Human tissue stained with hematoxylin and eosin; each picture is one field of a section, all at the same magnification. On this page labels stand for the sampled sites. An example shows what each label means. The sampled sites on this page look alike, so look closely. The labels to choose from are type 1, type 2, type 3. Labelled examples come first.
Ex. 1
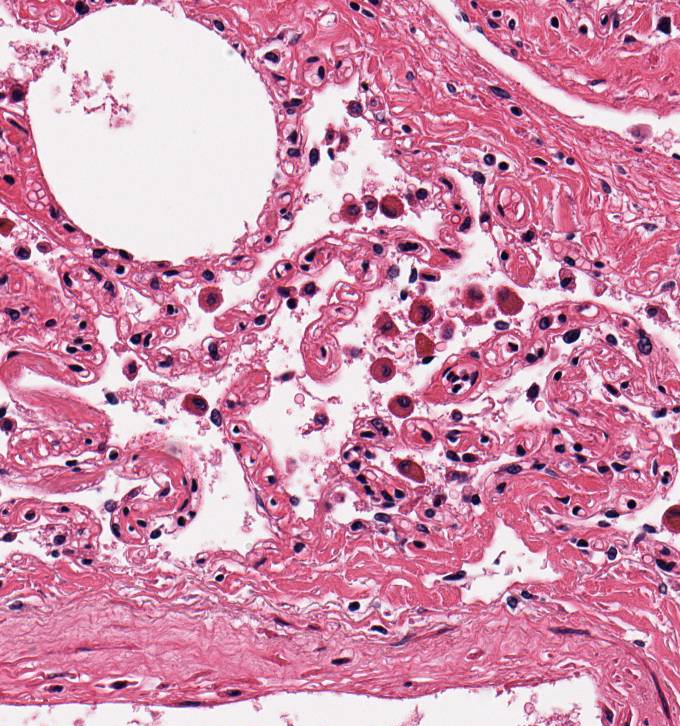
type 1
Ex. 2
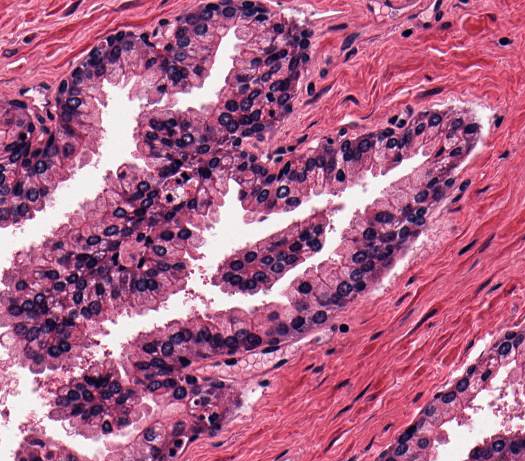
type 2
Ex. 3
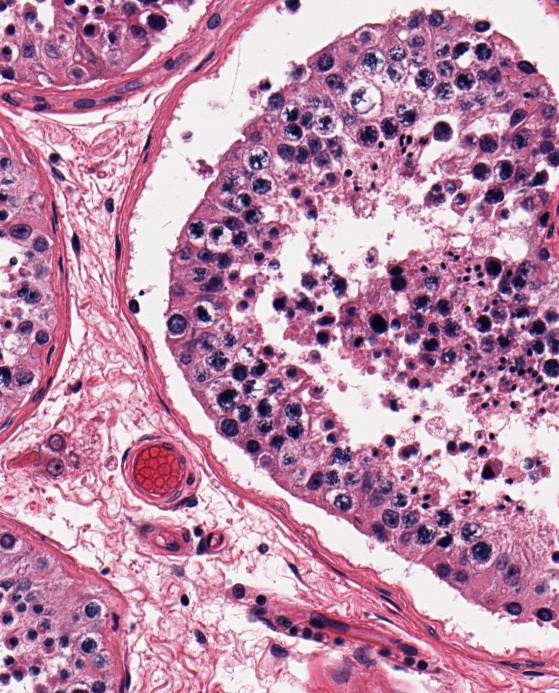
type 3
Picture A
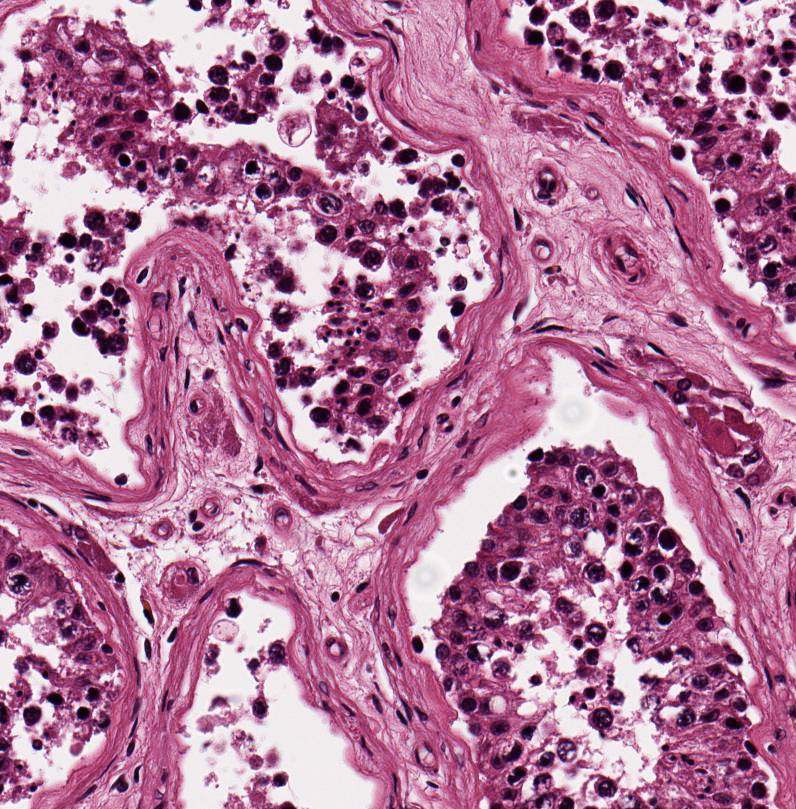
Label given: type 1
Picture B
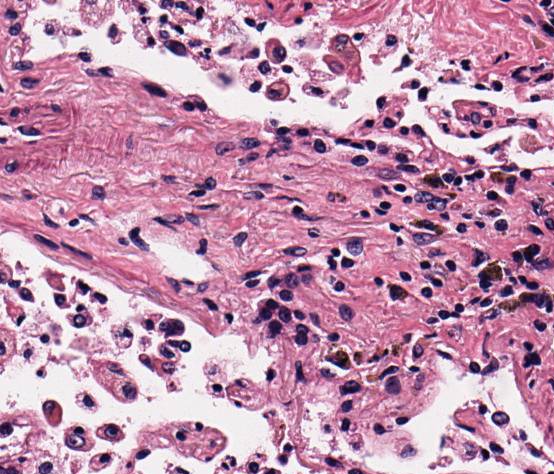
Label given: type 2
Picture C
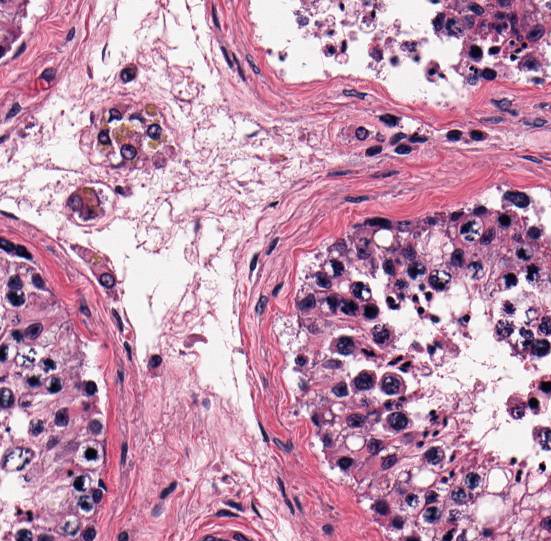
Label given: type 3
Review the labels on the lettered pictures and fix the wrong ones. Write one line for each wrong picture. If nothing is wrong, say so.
A should be type 3, not type 1
B should be type 1, not type 2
